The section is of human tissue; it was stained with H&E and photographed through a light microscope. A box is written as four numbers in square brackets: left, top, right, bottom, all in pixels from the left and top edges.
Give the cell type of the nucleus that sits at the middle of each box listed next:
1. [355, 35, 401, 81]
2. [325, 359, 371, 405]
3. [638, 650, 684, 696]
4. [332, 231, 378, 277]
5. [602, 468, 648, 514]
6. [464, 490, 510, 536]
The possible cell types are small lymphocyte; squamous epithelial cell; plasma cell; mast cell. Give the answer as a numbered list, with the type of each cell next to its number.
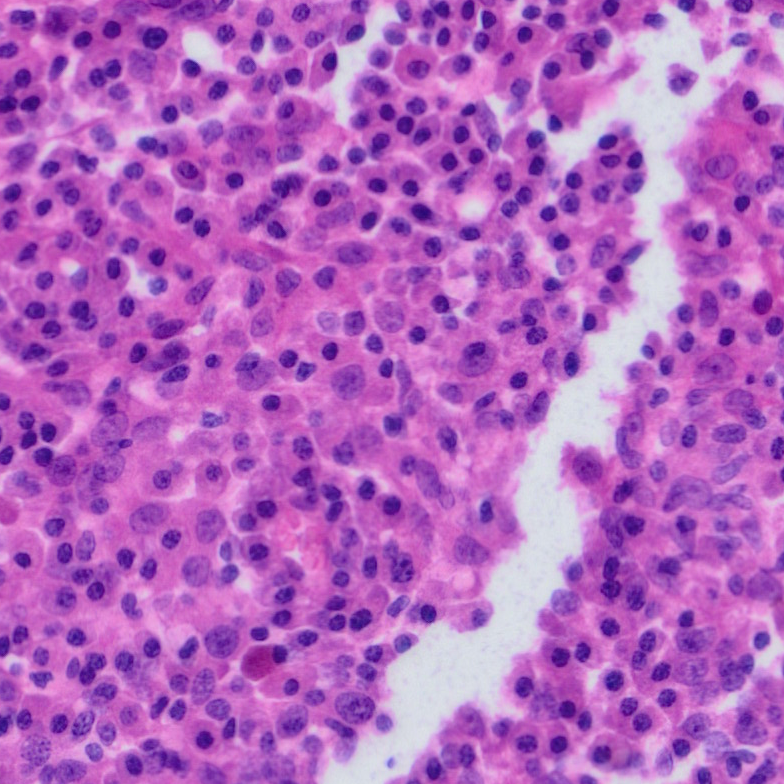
1. plasma cell
2. squamous epithelial cell
3. plasma cell
4. squamous epithelial cell
5. squamous epithelial cell
6. squamous epithelial cell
